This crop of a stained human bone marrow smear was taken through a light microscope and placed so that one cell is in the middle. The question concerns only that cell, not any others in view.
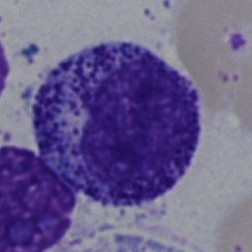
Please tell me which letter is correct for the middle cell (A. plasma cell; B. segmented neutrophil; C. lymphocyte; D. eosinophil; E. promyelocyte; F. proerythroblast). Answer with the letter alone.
E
